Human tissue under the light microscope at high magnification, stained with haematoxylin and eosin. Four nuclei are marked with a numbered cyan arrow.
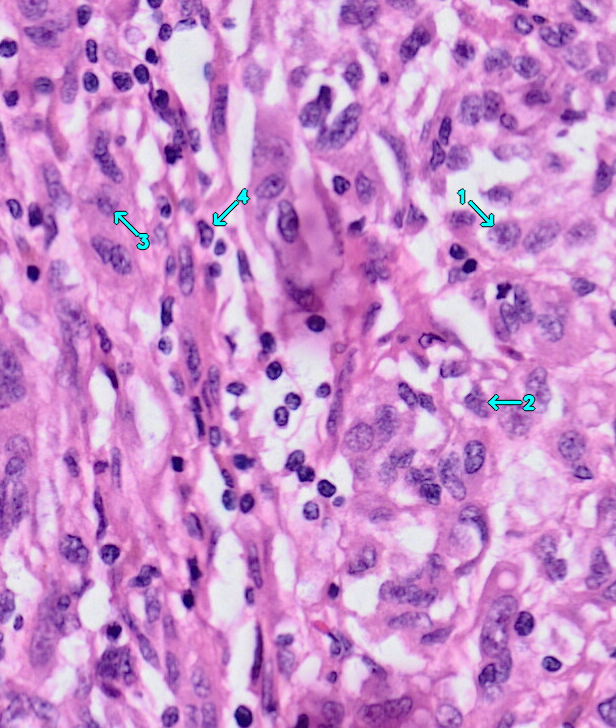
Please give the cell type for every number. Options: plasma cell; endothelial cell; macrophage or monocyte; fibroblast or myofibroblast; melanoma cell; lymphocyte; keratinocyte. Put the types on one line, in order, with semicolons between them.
melanoma cell; melanoma cell; melanoma cell; lymphocyte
